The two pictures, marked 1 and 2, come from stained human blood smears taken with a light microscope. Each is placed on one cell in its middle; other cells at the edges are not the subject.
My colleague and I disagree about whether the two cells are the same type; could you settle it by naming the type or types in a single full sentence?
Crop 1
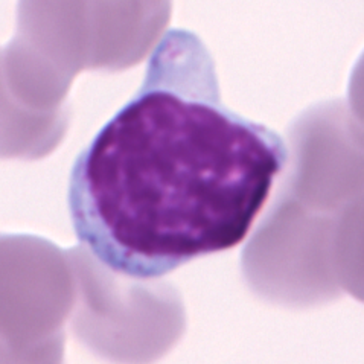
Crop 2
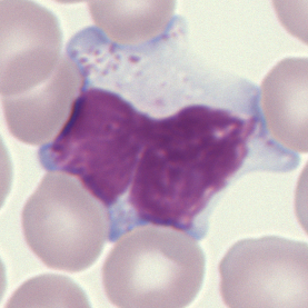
Yes, in the middle of both crops, large granular lymphocytes are shown.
